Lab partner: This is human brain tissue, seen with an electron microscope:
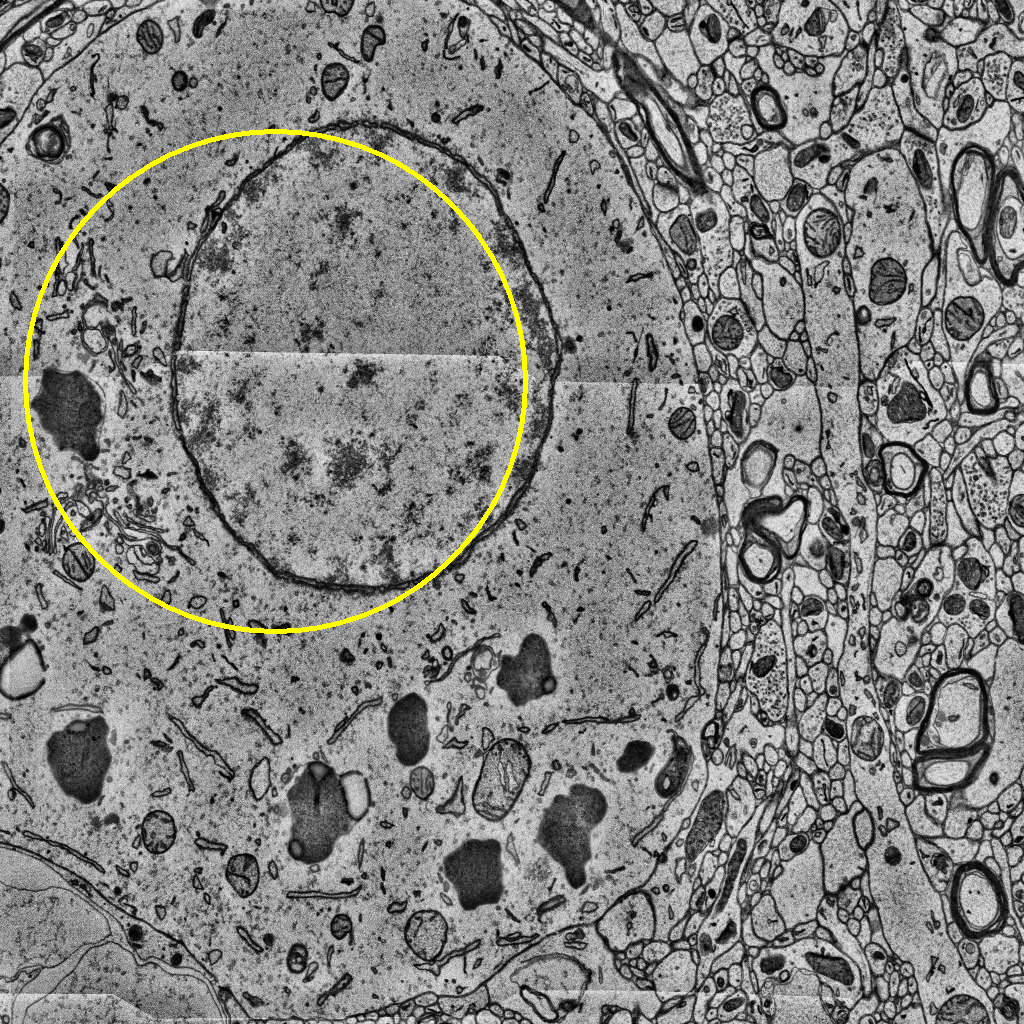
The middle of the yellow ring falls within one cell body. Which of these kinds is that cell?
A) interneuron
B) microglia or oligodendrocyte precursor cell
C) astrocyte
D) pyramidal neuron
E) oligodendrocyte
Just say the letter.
D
